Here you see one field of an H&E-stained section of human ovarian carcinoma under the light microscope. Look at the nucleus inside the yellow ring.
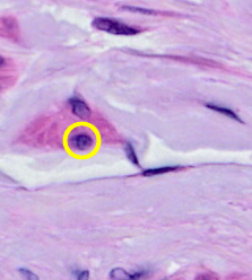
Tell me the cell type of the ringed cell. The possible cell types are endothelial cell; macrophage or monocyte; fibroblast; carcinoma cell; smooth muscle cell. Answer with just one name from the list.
smooth muscle cell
